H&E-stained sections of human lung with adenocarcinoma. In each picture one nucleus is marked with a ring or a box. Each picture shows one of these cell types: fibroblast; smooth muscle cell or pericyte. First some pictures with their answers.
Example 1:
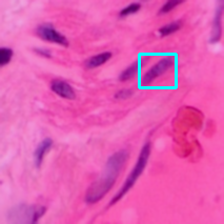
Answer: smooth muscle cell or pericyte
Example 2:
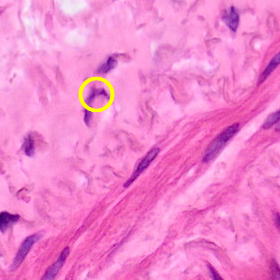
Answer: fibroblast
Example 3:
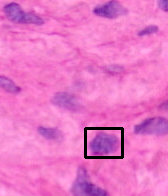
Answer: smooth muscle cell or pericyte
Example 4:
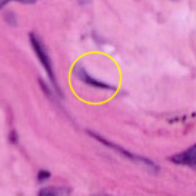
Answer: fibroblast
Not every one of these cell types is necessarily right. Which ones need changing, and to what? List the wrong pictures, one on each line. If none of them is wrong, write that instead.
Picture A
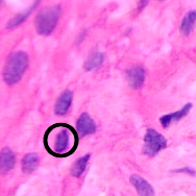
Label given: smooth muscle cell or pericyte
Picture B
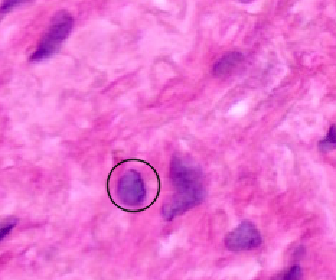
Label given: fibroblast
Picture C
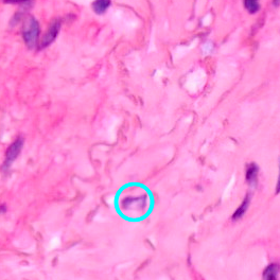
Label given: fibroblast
Wrong: B (fibroblast); correct: smooth muscle cell or pericyte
